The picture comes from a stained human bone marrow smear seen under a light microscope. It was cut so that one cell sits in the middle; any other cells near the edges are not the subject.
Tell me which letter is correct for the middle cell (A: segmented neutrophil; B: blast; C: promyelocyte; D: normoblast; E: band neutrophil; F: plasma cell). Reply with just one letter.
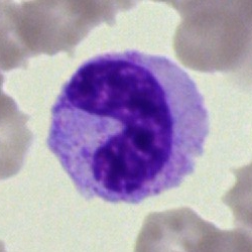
E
